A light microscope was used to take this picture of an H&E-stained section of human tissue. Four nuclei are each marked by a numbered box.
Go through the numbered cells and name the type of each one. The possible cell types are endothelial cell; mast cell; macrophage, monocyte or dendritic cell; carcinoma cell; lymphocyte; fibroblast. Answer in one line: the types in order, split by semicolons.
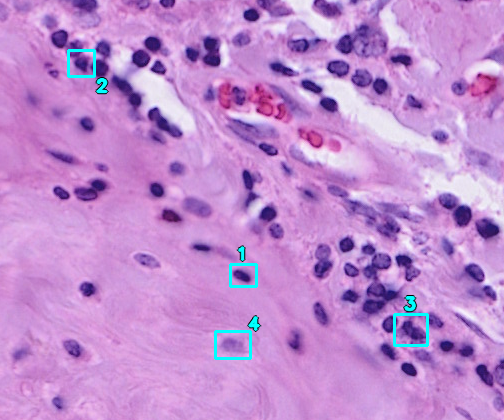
lymphocyte; lymphocyte; lymphocyte; fibroblast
